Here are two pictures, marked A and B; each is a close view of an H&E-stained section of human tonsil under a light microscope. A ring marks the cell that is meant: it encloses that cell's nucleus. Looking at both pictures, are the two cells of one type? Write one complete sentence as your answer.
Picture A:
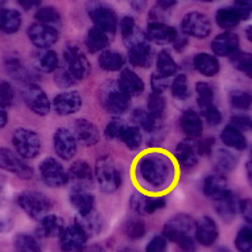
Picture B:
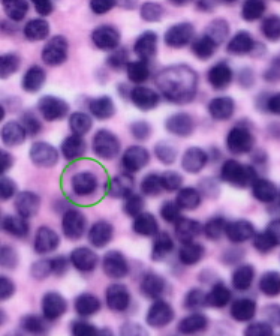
No; the cell in picture A is a plasma cell, while the one in picture B is a small lymphocyte.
